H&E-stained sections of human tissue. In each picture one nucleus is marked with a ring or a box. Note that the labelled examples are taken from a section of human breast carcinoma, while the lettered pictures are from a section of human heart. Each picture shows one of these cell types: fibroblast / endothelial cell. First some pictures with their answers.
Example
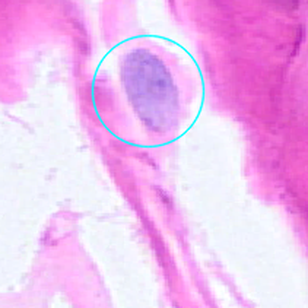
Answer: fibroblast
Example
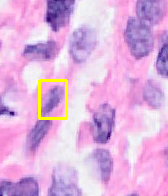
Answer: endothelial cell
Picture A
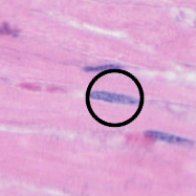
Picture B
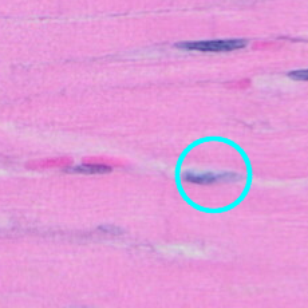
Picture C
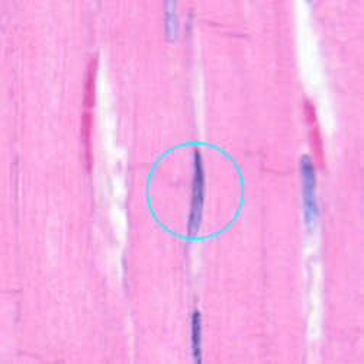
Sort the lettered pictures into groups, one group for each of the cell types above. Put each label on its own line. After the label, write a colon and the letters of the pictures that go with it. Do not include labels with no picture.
fibroblast: A, B
endothelial cell: C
